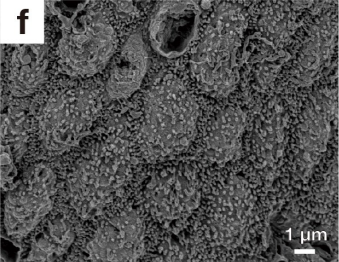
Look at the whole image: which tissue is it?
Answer: mucosal epithelium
